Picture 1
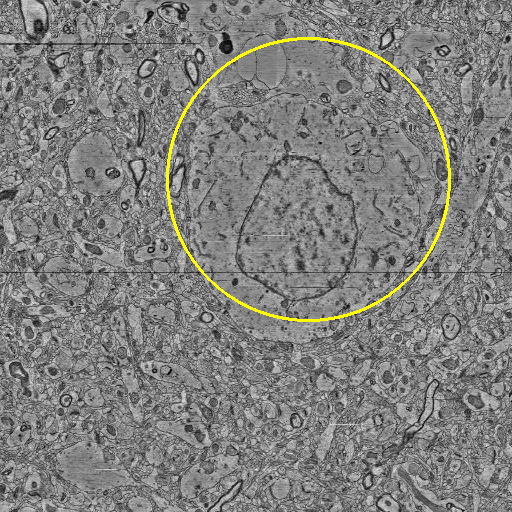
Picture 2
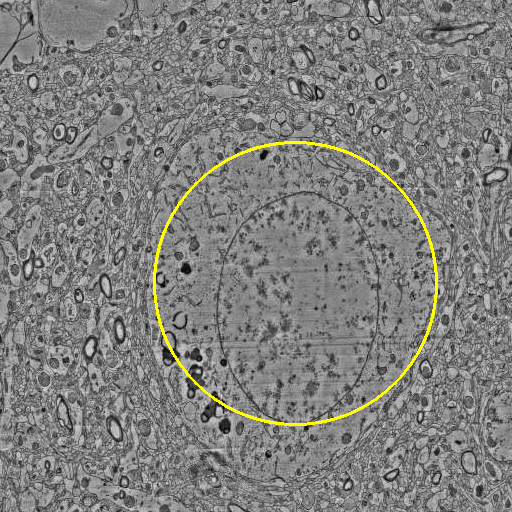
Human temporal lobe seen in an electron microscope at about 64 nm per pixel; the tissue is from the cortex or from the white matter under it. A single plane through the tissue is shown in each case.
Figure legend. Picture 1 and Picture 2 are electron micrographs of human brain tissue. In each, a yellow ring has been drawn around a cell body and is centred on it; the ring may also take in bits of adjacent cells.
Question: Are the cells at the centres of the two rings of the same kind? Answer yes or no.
yes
